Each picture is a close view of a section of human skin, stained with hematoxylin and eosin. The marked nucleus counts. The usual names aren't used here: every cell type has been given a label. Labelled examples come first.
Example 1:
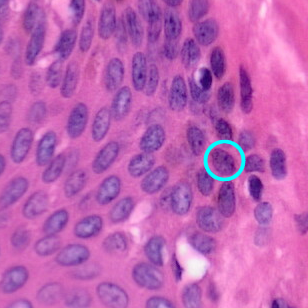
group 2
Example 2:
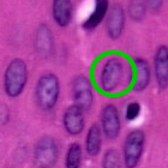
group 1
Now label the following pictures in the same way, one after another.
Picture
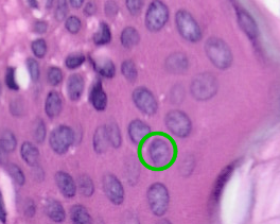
group 1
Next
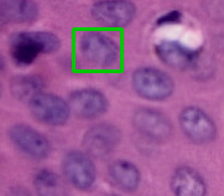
group 1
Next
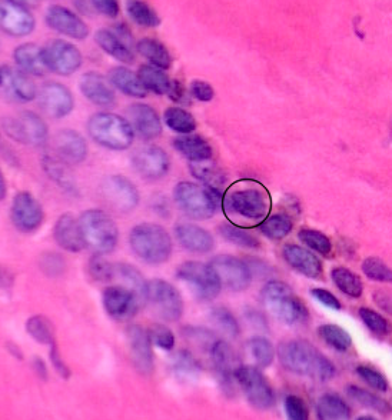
group 2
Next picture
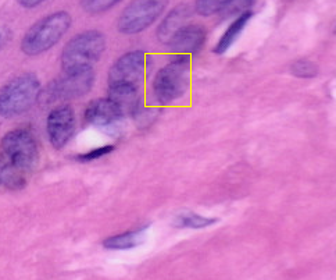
group 2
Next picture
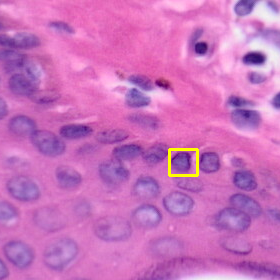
group 2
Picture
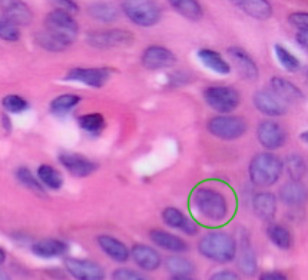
group 2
